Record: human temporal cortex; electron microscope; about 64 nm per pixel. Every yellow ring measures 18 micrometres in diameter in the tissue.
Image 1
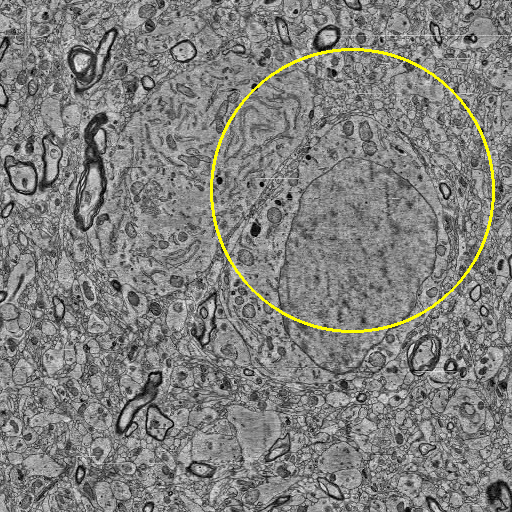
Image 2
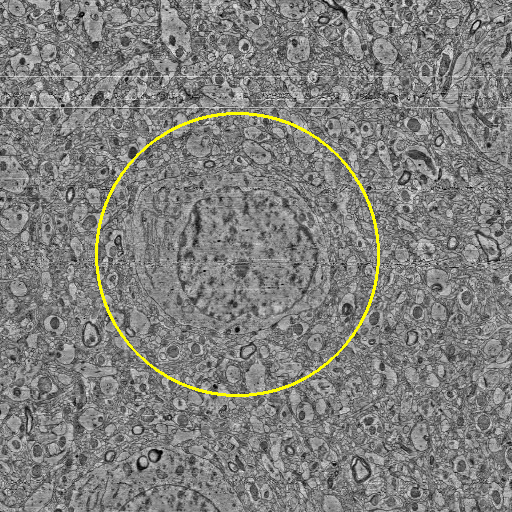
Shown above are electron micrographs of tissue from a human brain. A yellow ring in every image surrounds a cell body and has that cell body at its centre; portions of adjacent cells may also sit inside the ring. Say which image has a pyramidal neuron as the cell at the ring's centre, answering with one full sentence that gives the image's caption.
The image whose ring is centred on the requested cell is Image 1.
